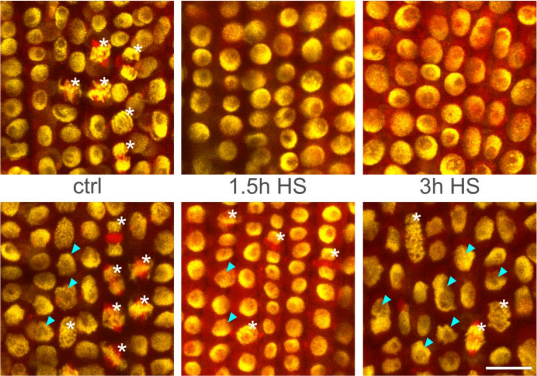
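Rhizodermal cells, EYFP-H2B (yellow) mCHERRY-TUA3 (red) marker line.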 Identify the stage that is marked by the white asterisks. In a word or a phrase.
Cells at different stages of mitosis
